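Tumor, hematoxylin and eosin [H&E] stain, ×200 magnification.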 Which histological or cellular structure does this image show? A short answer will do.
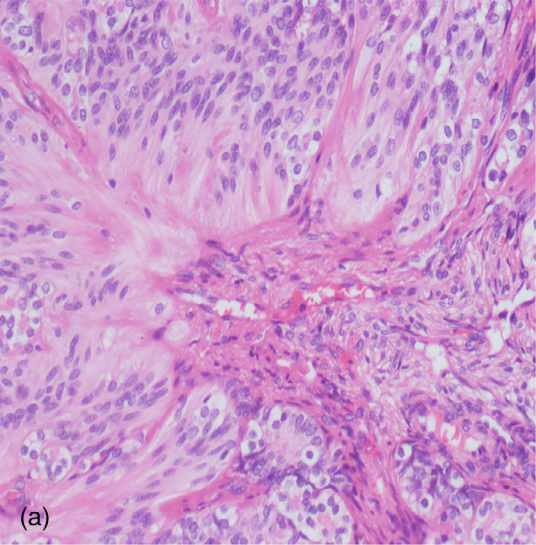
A: Perivascular pseudorosettes.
